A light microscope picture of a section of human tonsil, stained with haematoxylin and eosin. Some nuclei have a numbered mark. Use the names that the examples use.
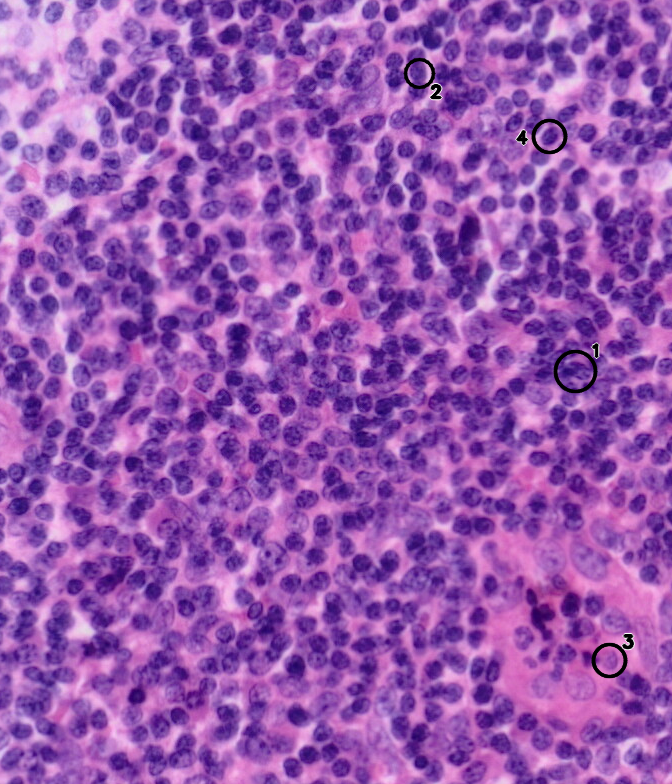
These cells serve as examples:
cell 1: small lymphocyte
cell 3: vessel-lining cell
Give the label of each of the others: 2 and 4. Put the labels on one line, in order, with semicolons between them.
small lymphocyte; small lymphocyte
